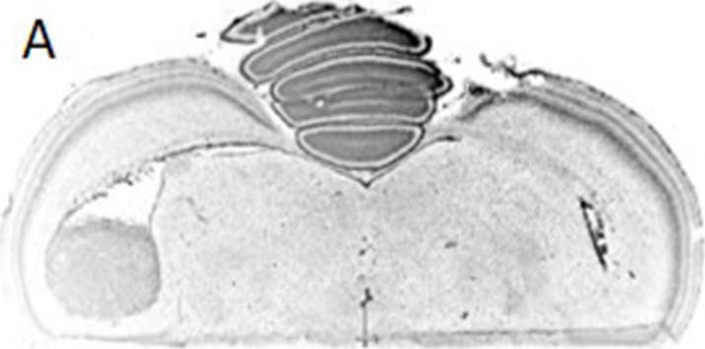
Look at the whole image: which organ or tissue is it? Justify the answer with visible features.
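Brains. A whole bilaterally symmetric section with two large lobes either side of a midline. A folded, layered structure sits at the top between the lobes. Layered walls run around the outer edge of the lobes.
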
